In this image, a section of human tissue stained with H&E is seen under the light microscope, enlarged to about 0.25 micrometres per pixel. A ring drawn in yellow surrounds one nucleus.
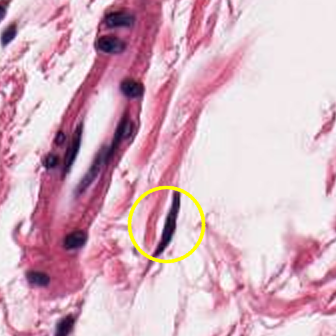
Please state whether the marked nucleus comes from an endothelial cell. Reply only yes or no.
no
